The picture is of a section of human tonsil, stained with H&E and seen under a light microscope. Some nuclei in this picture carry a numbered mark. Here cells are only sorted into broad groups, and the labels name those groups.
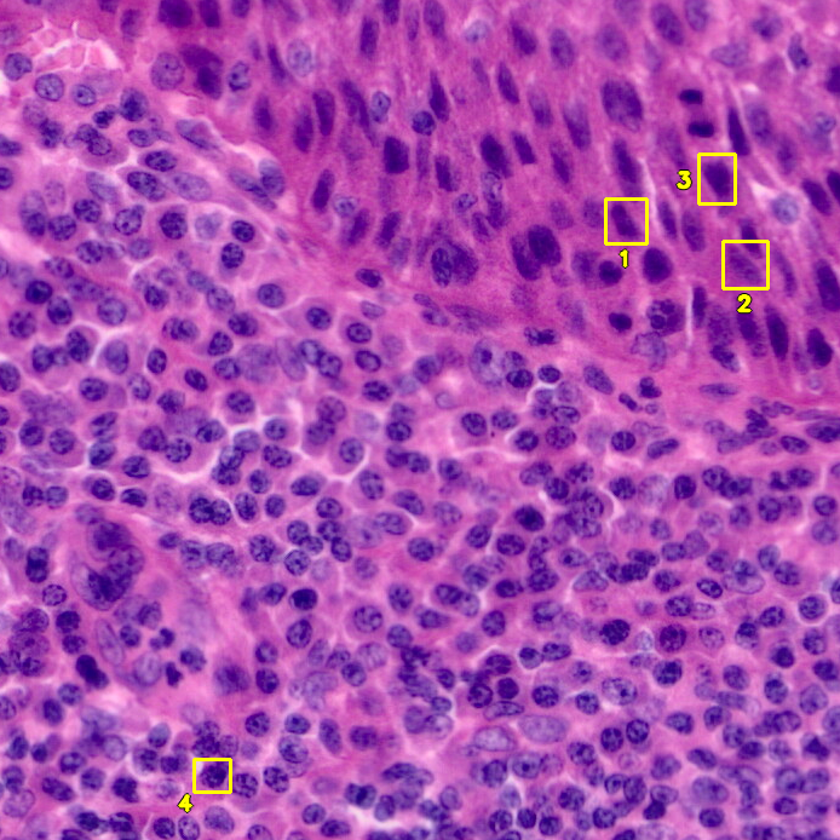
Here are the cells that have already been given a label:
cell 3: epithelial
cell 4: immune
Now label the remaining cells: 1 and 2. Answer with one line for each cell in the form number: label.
1: epithelial
2: epithelial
